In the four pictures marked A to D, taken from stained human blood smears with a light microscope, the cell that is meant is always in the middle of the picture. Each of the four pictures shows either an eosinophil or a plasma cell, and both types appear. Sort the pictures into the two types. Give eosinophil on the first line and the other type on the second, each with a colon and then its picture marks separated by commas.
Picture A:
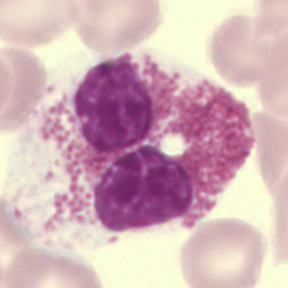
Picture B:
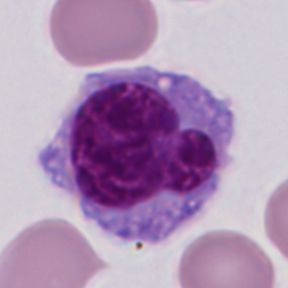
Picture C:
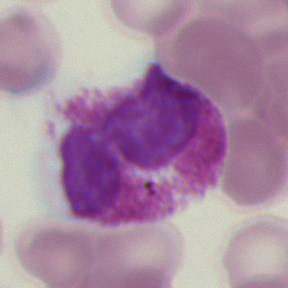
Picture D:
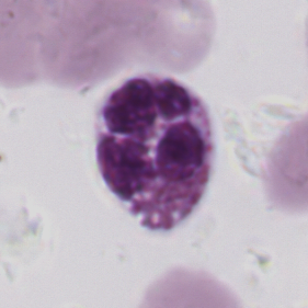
eosinophil: A, C, D
plasma cell: B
